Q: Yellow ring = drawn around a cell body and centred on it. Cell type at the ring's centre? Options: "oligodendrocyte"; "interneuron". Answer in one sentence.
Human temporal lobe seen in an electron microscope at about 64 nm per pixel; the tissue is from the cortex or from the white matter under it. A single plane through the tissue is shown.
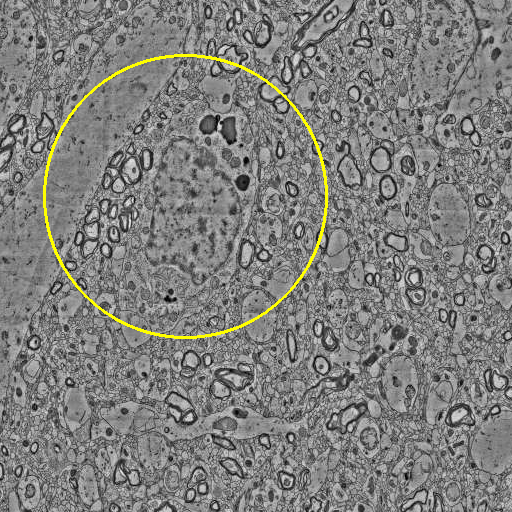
Centred in the ring is an interneuron.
